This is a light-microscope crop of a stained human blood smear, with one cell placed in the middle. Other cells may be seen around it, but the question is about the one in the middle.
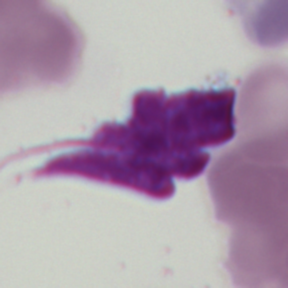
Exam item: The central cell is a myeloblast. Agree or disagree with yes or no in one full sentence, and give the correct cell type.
No, instead of a myeloblast, the middle cell is a smudge cell.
